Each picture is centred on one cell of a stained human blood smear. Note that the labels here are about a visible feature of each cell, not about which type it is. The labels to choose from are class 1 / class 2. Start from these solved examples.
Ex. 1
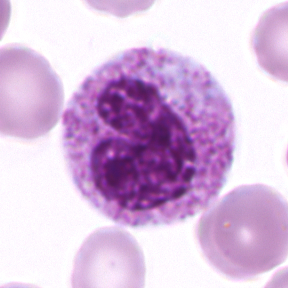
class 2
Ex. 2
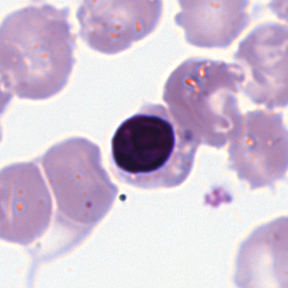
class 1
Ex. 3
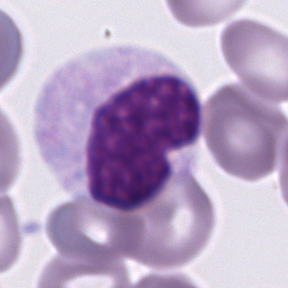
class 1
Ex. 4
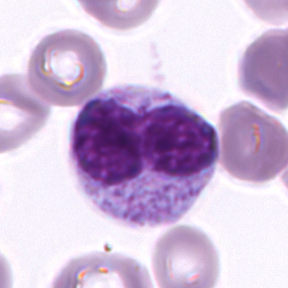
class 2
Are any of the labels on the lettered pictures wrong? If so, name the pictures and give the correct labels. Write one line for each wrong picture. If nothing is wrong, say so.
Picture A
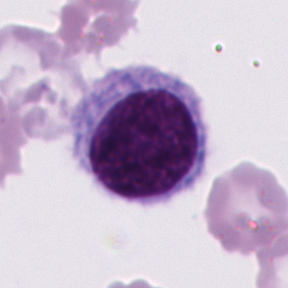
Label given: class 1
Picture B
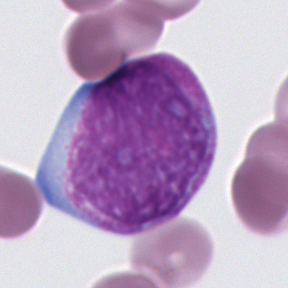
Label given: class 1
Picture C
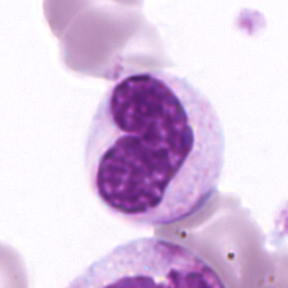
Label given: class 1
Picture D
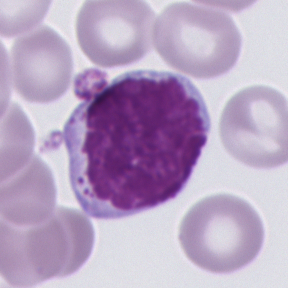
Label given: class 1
None of the labels needs changing.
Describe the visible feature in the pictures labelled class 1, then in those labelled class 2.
Seen in class 1: single compact nucleus; seen in class 2: lobed nucleus.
